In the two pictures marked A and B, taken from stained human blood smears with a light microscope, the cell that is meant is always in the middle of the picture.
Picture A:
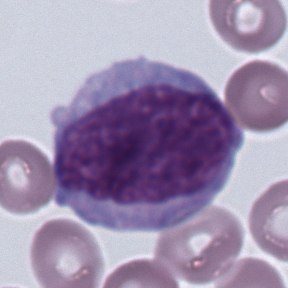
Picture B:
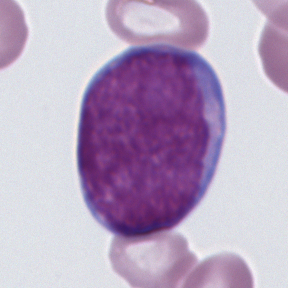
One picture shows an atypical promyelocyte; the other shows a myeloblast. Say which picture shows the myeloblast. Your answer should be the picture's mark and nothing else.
B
